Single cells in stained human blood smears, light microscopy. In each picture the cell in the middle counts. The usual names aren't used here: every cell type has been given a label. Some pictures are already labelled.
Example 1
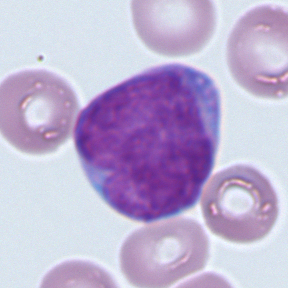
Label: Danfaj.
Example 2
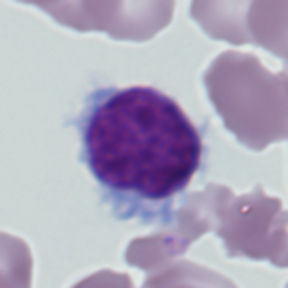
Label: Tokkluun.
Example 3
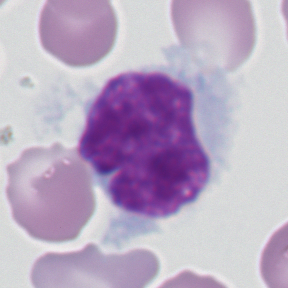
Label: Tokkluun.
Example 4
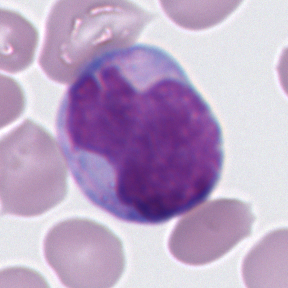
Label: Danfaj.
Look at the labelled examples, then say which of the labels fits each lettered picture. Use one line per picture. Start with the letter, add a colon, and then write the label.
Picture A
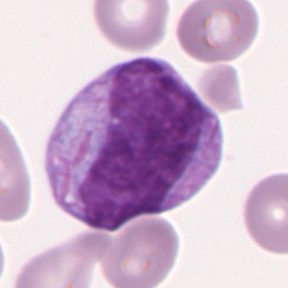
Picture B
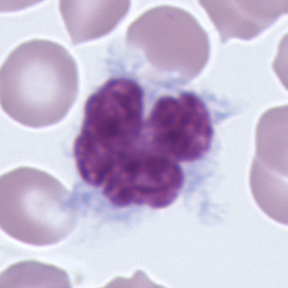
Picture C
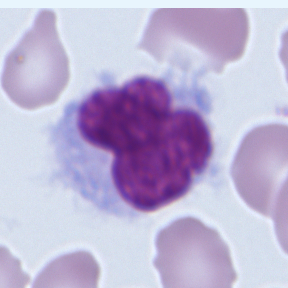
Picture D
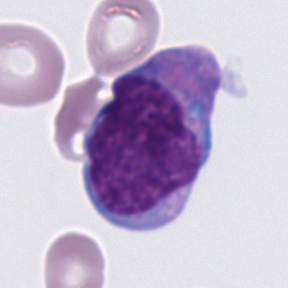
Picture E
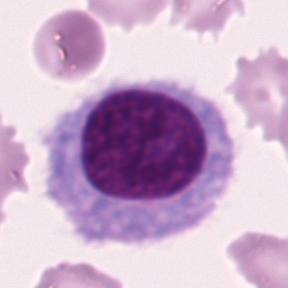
A: Danfaj.
B: Tokkluun.
C: Tokkluun.
D: Danfaj.
E: Tokkluun.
